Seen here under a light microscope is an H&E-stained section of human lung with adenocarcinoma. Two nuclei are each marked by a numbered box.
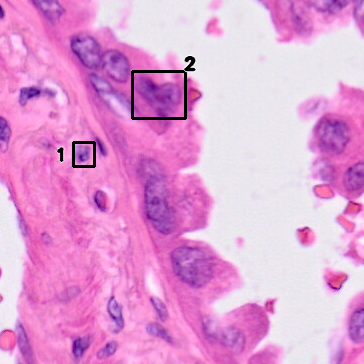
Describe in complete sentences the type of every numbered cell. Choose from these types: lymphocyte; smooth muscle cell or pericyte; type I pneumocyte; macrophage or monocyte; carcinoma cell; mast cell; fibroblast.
Cell 1 is a lymphocyte. Cell 2 is a carcinoma cell.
